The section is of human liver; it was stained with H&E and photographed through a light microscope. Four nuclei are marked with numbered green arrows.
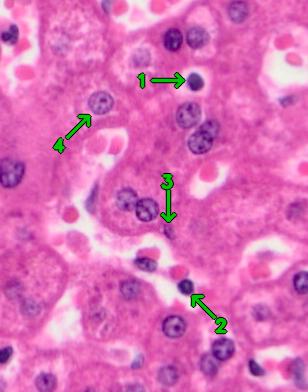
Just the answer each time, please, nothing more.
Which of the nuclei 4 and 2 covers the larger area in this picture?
4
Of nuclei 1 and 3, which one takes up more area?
1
